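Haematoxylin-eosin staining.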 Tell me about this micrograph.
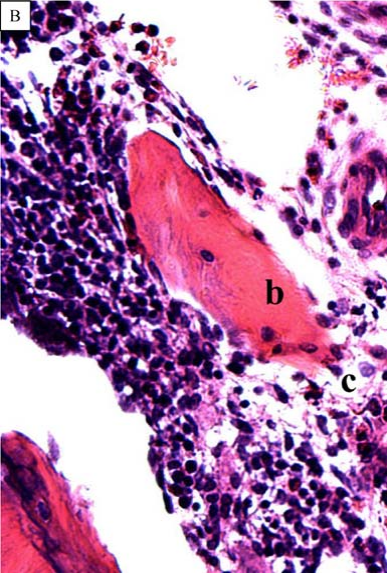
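An elongated piece of bone tissue, stained pink, lies within densely cellular connective tissue, and a further pink fragment appears at the lower left corner. A few dark nuclei lie in small spaces within the pink matrix. The surrounding tissue is crowded with small, round, darkly stained purple nuclei, most densely on the left. Loose strands with scattered red blood cells and a small vessel-like structure lie to the right.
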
